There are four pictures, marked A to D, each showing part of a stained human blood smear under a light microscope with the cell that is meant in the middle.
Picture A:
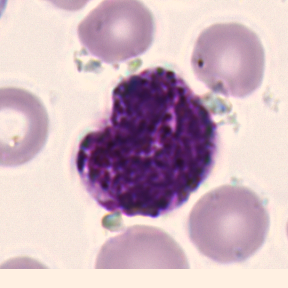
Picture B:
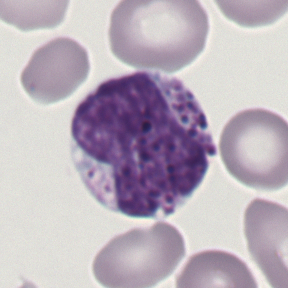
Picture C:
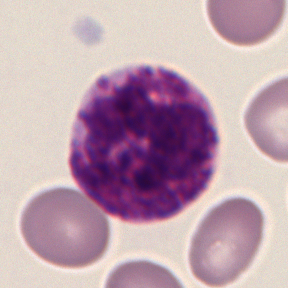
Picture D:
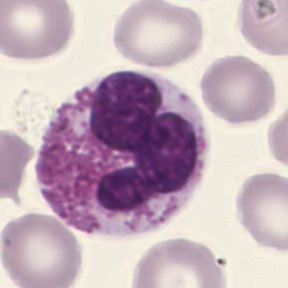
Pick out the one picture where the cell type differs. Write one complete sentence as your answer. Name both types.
Picture D is the odd one out: it shows an eosinophil, while the others show basophils.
